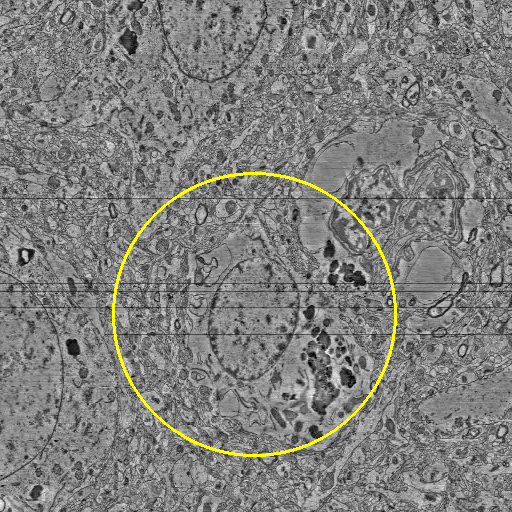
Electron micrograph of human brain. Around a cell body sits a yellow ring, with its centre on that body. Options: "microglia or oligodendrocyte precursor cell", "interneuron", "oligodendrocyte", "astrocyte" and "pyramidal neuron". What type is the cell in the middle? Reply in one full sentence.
The cell sitting at the centre of the yellow ring is an astrocyte.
